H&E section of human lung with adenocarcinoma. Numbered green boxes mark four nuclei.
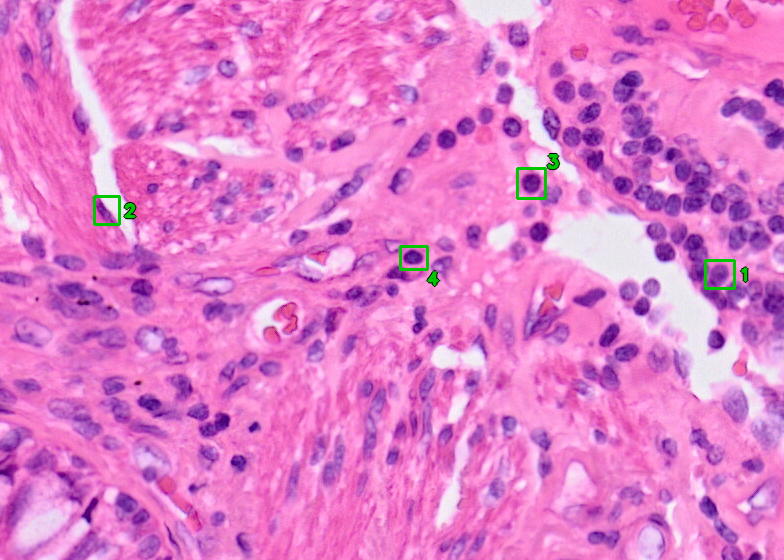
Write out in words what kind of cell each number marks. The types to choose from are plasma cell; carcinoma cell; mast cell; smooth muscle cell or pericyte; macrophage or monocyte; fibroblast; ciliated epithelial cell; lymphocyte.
Cells 1, 3 and 4 are lymphocytes. Cell 2 is a smooth muscle cell or pericyte.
